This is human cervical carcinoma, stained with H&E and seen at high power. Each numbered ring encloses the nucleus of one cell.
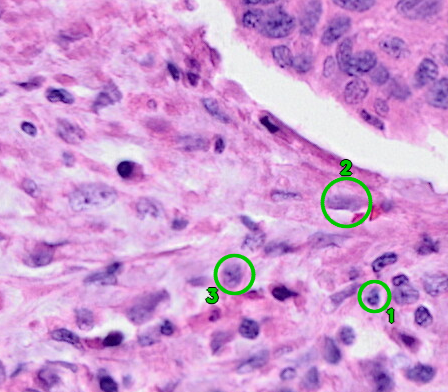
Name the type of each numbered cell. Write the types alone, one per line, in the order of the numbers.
lymphocyte
endothelial cell
macrophage or monocyte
